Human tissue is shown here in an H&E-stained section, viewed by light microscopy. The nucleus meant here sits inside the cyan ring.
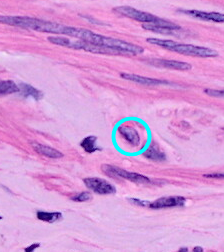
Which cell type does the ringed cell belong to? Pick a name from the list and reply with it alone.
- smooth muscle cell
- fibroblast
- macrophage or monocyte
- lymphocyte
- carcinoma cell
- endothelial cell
endothelial cell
